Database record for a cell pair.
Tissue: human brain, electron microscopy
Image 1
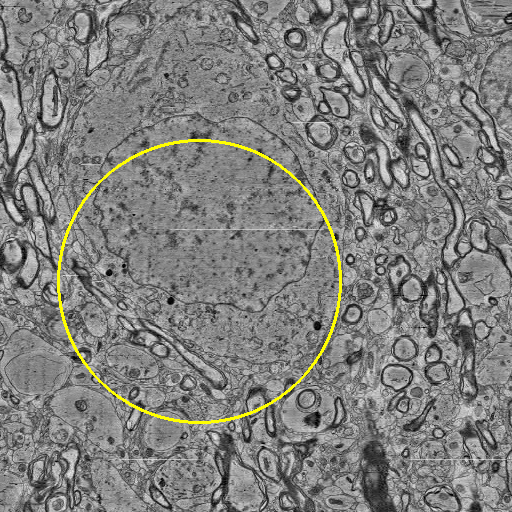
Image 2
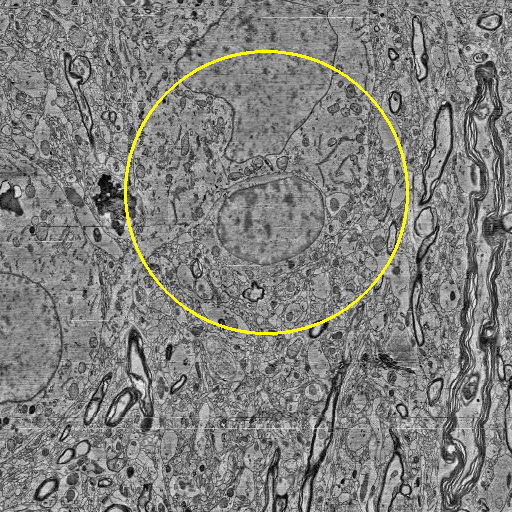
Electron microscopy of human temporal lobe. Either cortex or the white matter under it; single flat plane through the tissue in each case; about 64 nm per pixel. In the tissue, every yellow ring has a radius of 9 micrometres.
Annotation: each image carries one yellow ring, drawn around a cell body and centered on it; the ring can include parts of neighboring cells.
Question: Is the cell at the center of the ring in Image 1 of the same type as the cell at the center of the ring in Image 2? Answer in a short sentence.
No, the cells are of two types.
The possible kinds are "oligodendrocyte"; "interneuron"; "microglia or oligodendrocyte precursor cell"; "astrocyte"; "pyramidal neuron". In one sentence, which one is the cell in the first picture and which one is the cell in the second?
The cell ringed in the second picture is an oligodendrocyte, whereas the one ringed in the first is a pyramidal neuron.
